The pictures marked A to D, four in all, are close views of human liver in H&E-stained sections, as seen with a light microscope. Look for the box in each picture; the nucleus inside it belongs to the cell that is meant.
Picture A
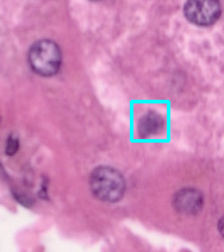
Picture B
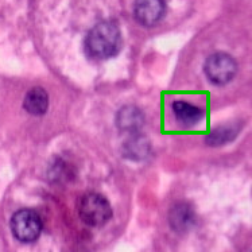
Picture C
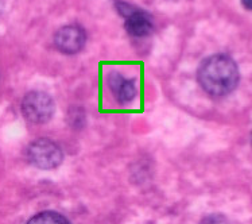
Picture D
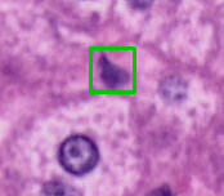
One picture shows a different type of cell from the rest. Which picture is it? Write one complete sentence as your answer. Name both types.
All pictures except B show endothelial cells; picture B shows a “fibroblast or stellate cell”.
